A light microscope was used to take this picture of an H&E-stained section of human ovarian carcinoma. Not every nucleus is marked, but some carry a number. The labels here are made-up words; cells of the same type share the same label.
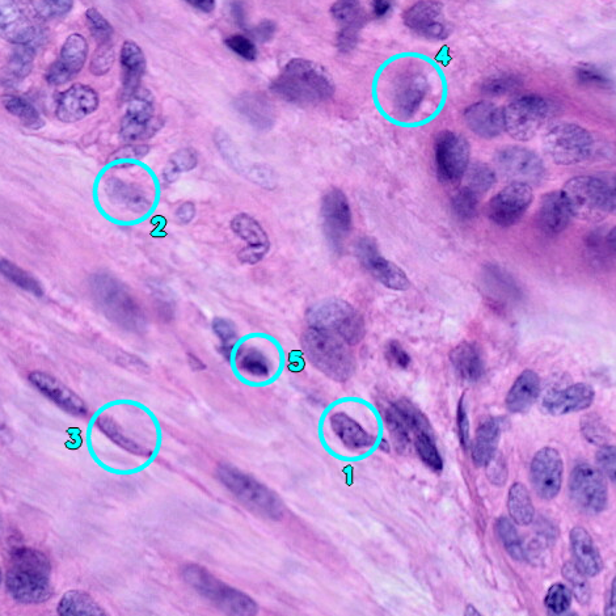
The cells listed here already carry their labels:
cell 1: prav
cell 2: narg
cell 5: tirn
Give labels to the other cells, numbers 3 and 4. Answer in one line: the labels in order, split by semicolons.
narg; narg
